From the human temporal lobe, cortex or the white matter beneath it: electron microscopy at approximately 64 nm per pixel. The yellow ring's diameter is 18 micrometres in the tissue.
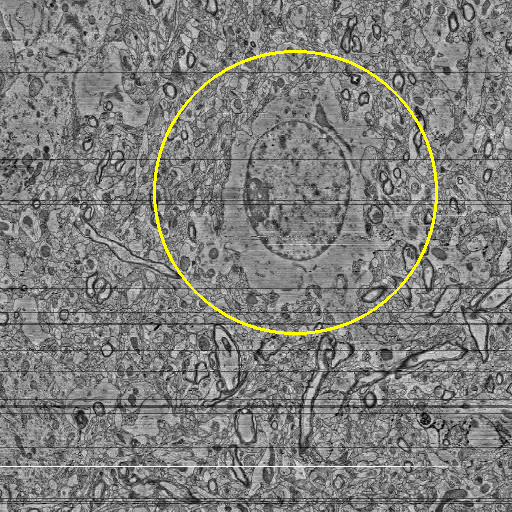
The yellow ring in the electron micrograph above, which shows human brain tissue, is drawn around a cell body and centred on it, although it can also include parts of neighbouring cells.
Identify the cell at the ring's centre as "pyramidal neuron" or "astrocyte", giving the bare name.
astrocyte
